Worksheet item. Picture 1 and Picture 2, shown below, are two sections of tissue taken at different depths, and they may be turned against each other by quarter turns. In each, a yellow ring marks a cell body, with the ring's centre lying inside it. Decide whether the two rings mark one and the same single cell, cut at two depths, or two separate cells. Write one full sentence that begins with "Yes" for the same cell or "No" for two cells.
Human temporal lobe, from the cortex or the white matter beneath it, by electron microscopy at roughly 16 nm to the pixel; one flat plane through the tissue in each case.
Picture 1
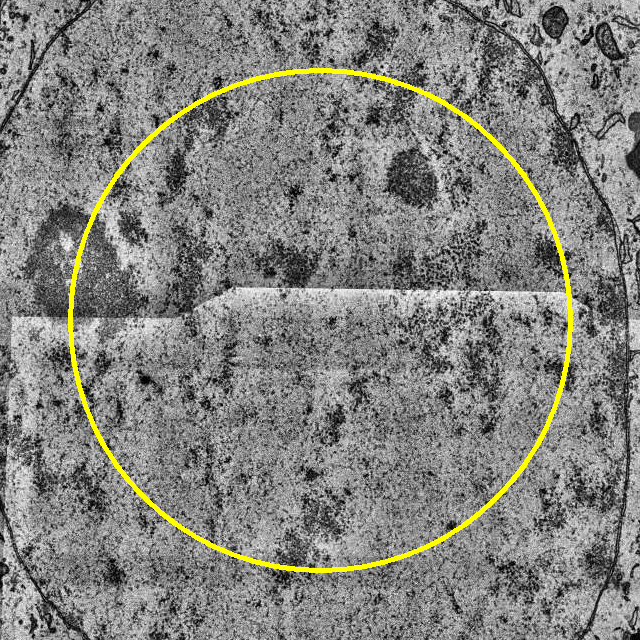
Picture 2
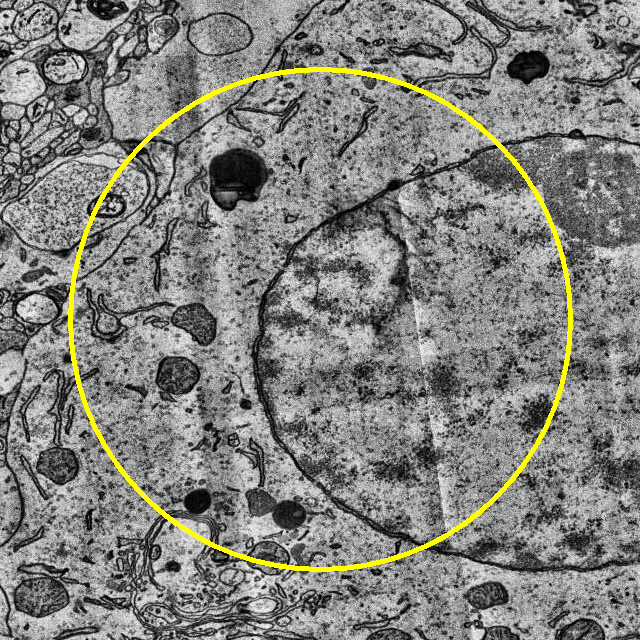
No, the two rings outline two separate cells in this micrograph.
